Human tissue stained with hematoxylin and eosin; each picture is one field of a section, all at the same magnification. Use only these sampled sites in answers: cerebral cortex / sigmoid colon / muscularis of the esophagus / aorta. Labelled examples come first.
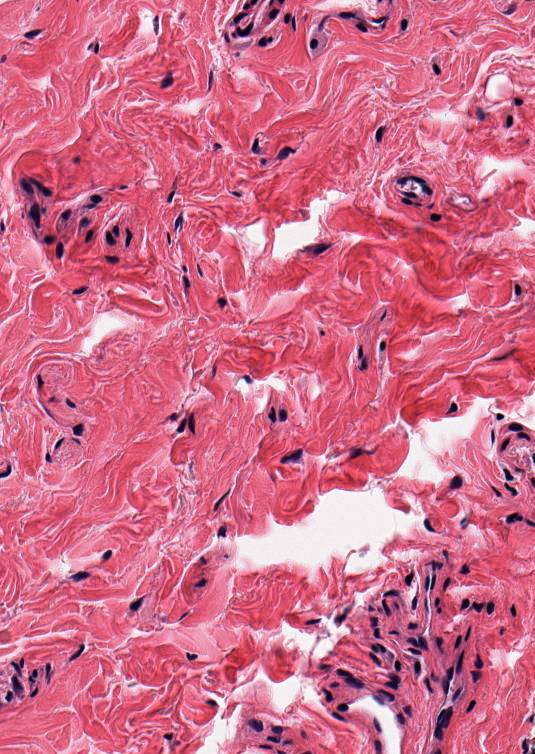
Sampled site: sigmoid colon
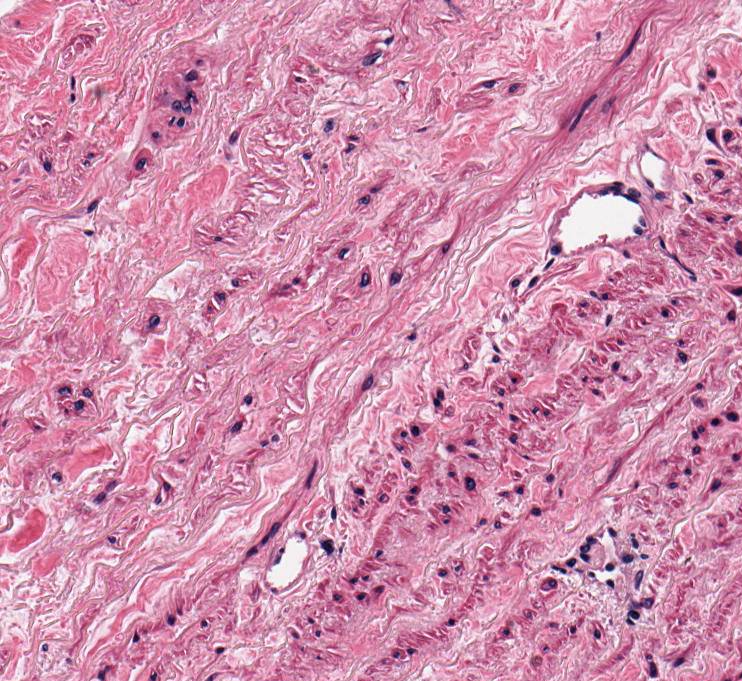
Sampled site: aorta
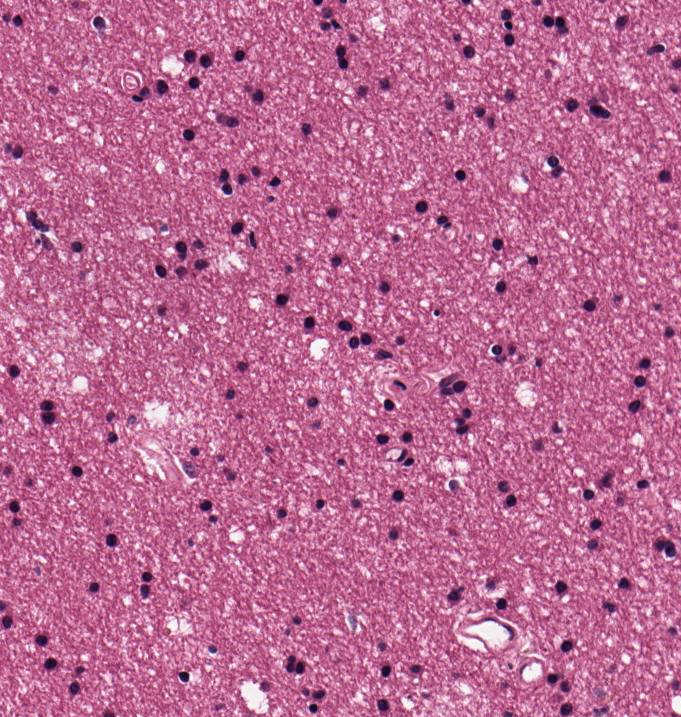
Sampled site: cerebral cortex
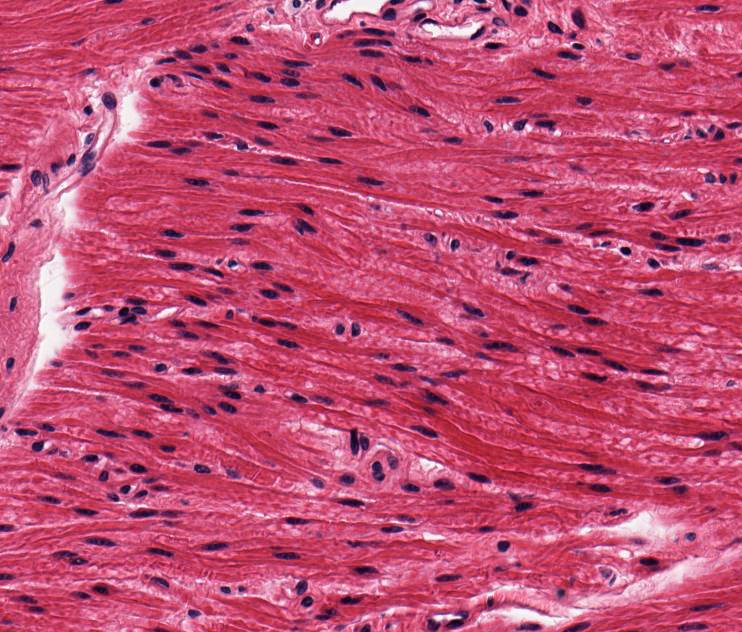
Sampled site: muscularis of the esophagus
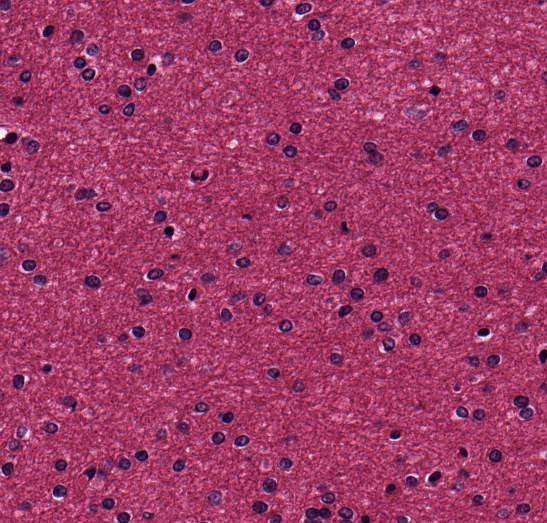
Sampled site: cerebral cortex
